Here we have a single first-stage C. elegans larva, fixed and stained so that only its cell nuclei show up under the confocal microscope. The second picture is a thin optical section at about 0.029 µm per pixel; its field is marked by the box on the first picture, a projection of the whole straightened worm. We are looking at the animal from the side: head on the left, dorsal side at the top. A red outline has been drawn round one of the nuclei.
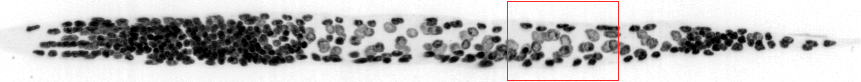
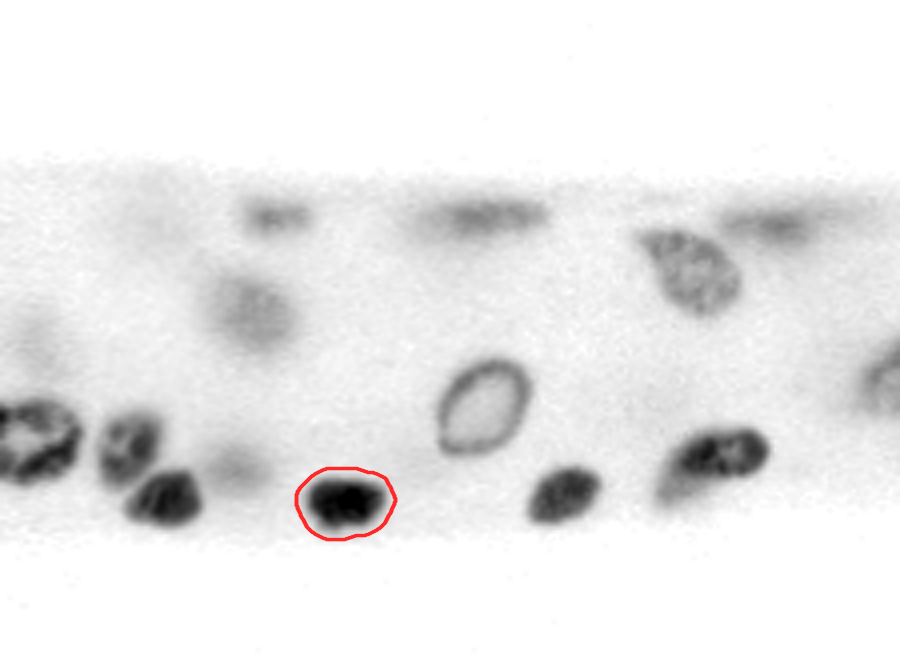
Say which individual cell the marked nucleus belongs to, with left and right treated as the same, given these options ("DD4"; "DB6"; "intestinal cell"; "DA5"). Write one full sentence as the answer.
It is the nucleus of DD4, a neuron.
